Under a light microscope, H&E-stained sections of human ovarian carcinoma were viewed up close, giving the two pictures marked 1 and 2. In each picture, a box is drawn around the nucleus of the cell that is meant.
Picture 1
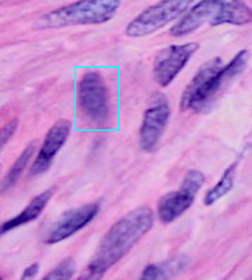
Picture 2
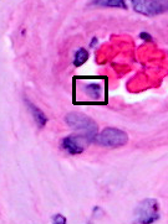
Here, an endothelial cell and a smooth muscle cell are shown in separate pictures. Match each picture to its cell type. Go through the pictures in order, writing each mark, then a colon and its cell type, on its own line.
1: smooth muscle cell
2: endothelial cell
